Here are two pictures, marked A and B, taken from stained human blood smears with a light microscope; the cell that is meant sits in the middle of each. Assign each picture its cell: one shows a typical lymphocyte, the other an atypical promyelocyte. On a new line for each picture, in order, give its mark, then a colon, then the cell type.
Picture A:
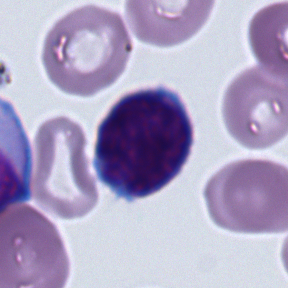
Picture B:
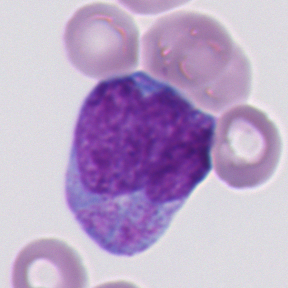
A: typical lymphocyte
B: atypical promyelocyte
